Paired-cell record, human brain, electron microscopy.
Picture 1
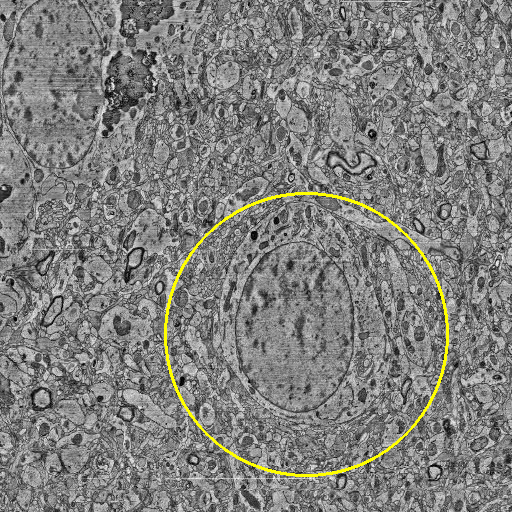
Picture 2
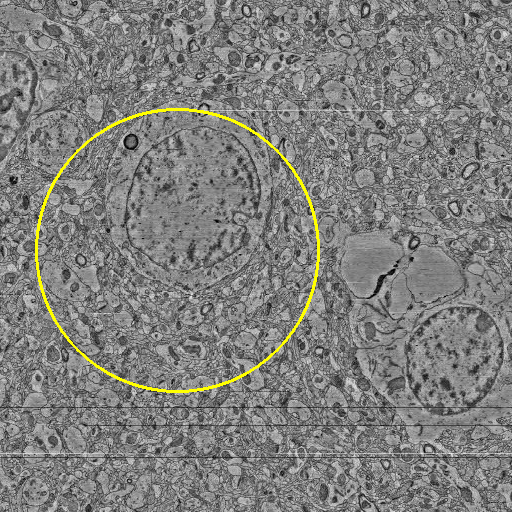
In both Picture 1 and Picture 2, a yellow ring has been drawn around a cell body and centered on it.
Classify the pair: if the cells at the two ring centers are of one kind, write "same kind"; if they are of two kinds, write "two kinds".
same kind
